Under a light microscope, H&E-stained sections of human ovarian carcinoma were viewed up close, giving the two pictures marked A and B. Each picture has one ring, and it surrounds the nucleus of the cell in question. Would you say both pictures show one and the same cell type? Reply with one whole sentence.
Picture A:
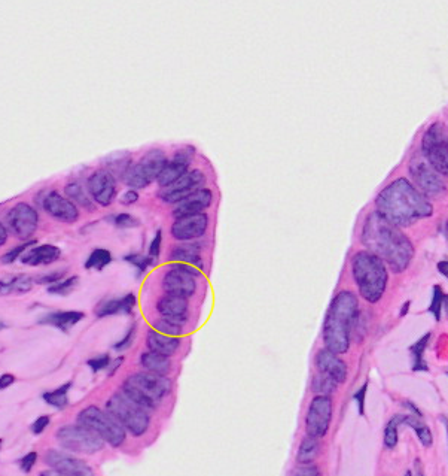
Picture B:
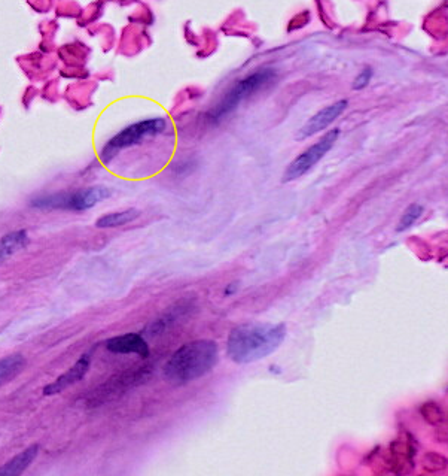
No; the cell in picture A is a carcinoma cell, while the one in picture B is an endothelial cell.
